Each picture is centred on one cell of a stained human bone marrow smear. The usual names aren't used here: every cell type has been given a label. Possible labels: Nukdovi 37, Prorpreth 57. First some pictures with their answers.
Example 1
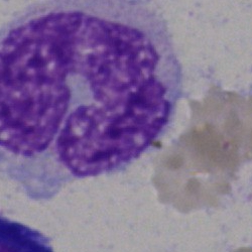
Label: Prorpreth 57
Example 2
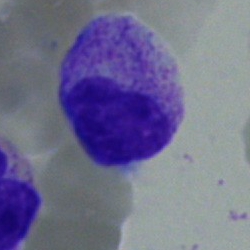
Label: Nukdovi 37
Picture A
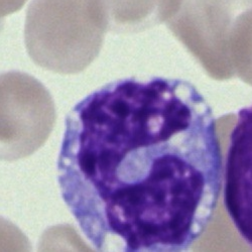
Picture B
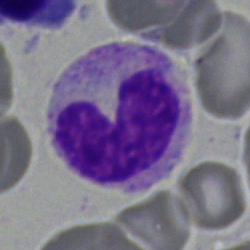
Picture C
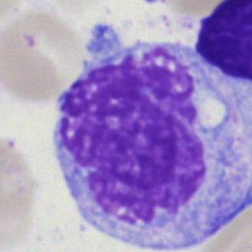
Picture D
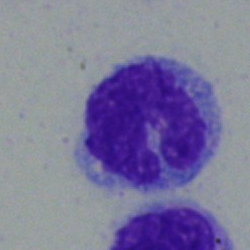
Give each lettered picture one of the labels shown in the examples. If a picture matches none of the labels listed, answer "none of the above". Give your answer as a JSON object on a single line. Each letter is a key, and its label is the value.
{"A": "Prorpreth 57", "B": "none of the above", "C": "Prorpreth 57", "D": "Prorpreth 57"}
